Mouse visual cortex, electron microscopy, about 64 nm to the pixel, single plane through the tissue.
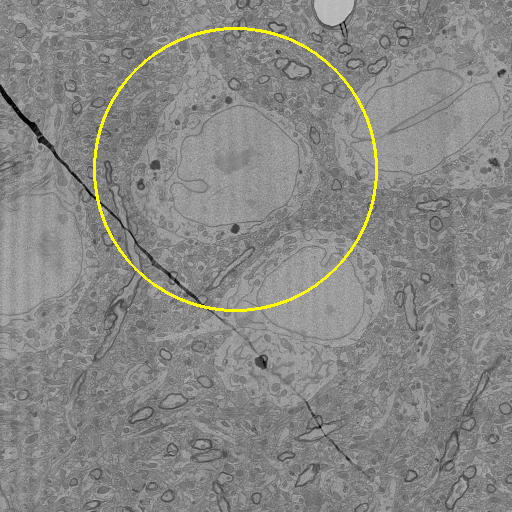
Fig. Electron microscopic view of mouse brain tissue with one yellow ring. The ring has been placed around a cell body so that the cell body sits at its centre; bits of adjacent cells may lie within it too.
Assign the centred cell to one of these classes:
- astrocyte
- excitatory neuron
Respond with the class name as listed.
excitatory neuron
